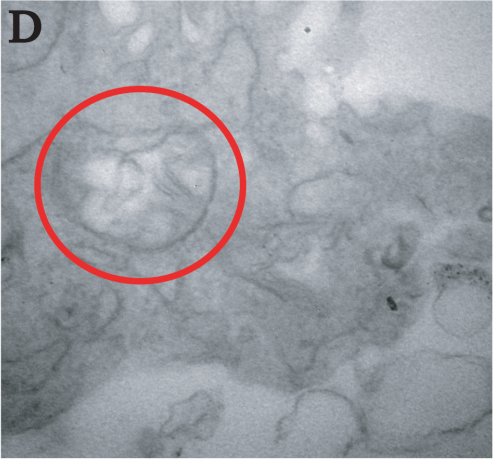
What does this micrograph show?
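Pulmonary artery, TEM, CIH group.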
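A rounded mitochondrion bounded by a membrane lies on the left side of the field. Its interior is pale and electron-lucent, with only a few short, irregular and broken cristae instead of regular parallel folds. The surrounding cytoplasm is grey and finely granular, with several membrane-bound outlines and irregular pale spaces around it.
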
